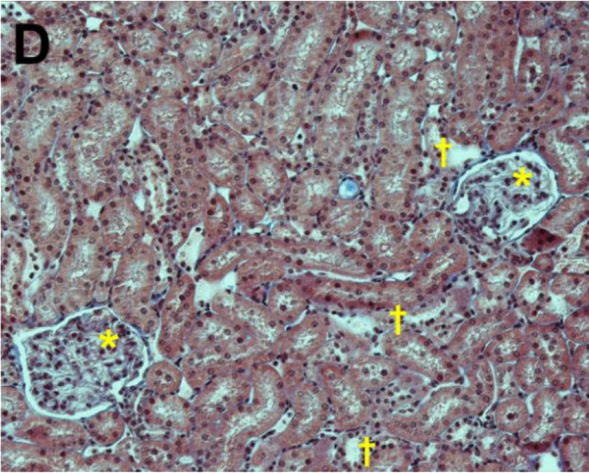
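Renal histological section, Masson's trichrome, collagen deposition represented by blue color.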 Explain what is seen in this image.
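Kidney cortex with two glomeruli surrounded by closely packed convoluted tubules. Each glomerulus is a rounded, nucleus-rich capillary tuft within a clear space and thin capsule. Tubules are lined by cuboidal cells with pink-red granular cytoplasm and round dark nuclei, with fuzzy pale material at the luminal surface. The interstitium between tubules is narrow, with only faint blue.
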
